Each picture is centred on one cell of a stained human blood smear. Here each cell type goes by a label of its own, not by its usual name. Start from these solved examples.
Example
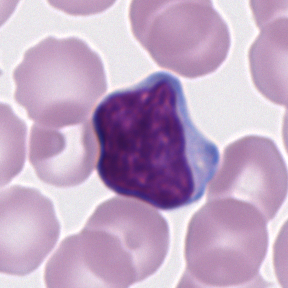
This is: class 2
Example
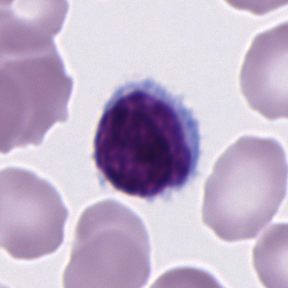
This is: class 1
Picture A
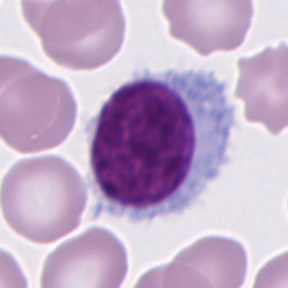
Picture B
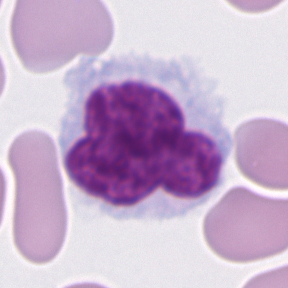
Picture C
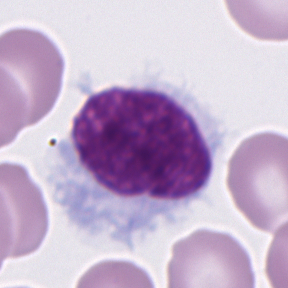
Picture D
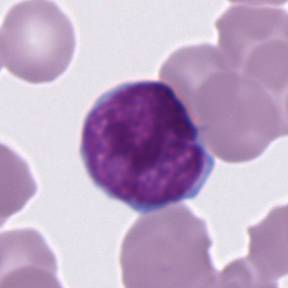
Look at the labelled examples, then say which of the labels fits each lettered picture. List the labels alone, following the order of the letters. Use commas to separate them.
class 1, class 1, class 1, class 2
